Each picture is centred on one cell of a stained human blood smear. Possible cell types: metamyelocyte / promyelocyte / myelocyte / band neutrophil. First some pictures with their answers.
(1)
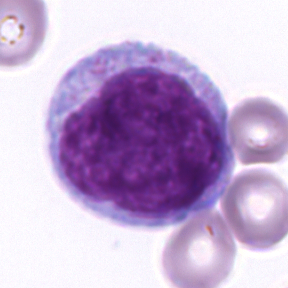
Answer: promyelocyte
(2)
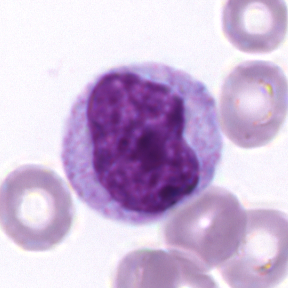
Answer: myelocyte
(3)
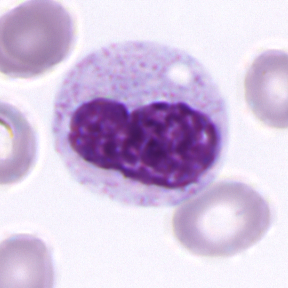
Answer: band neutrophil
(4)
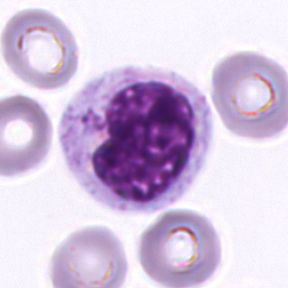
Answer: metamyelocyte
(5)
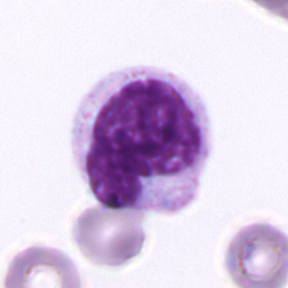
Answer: band neutrophil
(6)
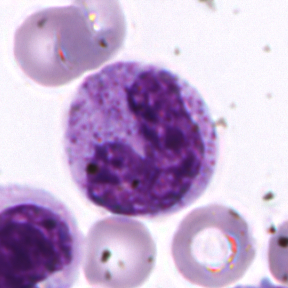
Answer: band neutrophil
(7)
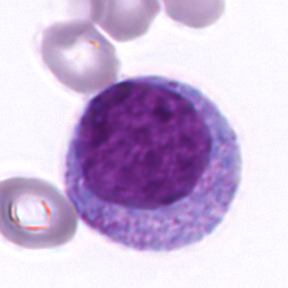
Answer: promyelocyte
